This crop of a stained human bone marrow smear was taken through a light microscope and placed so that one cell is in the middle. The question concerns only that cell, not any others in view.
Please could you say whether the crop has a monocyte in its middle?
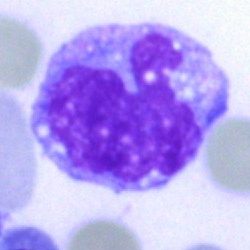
yes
